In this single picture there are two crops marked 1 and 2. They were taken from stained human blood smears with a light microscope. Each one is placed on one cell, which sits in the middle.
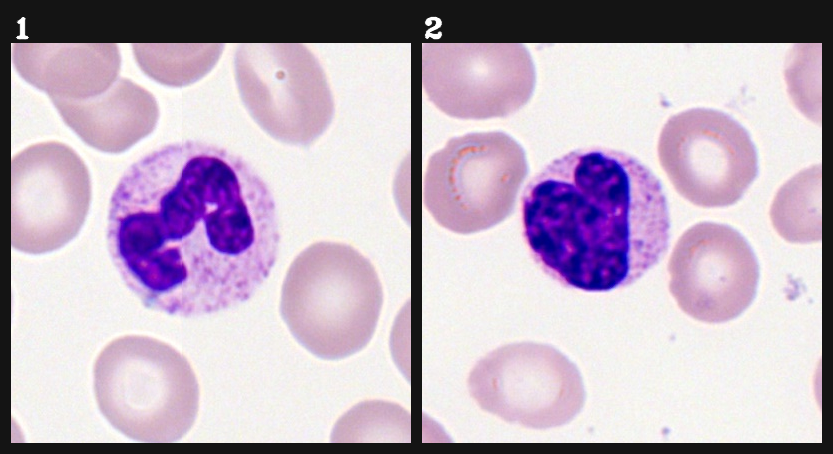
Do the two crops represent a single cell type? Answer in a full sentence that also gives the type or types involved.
Yes, both crops show segmented neutrophils as their central cells.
